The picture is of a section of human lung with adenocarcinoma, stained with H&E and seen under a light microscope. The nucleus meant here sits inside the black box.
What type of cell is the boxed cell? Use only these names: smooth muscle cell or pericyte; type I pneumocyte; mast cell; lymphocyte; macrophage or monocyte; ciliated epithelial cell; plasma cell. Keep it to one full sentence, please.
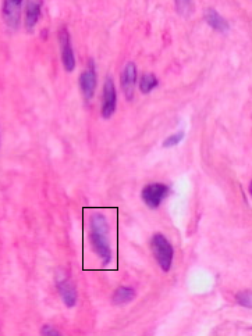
As far as its identity is concerned, the boxed cell is a smooth muscle cell or pericyte.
